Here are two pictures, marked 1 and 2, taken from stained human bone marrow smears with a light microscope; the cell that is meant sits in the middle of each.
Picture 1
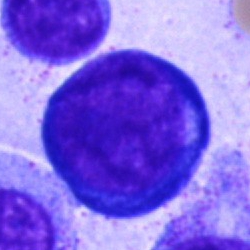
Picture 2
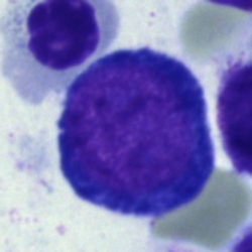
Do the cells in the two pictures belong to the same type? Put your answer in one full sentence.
Yes; the cells in both pictures are proerythroblasts.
